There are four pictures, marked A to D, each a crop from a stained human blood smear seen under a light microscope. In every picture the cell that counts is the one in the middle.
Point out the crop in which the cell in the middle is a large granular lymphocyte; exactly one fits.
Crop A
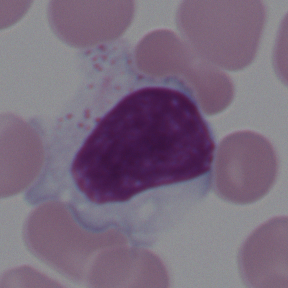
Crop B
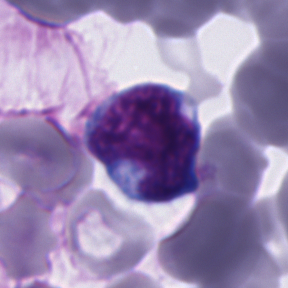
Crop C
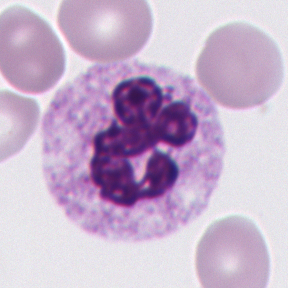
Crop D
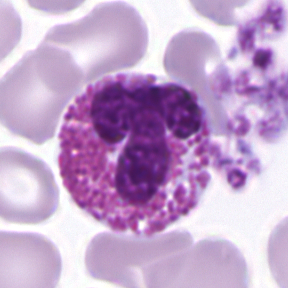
A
